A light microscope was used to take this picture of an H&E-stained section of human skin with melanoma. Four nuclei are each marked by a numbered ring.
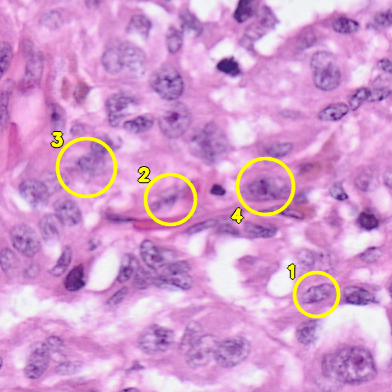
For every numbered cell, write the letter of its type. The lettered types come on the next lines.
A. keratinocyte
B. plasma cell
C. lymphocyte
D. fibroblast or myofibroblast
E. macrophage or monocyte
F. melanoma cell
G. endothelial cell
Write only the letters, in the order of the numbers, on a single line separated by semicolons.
F; G; F; F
